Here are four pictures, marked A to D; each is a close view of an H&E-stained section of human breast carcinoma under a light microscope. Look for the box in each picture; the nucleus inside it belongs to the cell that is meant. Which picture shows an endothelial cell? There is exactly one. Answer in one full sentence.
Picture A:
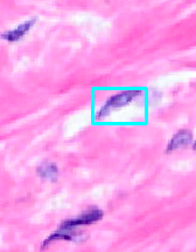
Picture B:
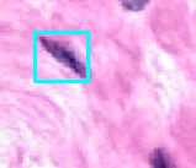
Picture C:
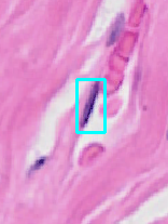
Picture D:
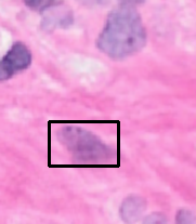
It is picture C that shows the endothelial cell.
